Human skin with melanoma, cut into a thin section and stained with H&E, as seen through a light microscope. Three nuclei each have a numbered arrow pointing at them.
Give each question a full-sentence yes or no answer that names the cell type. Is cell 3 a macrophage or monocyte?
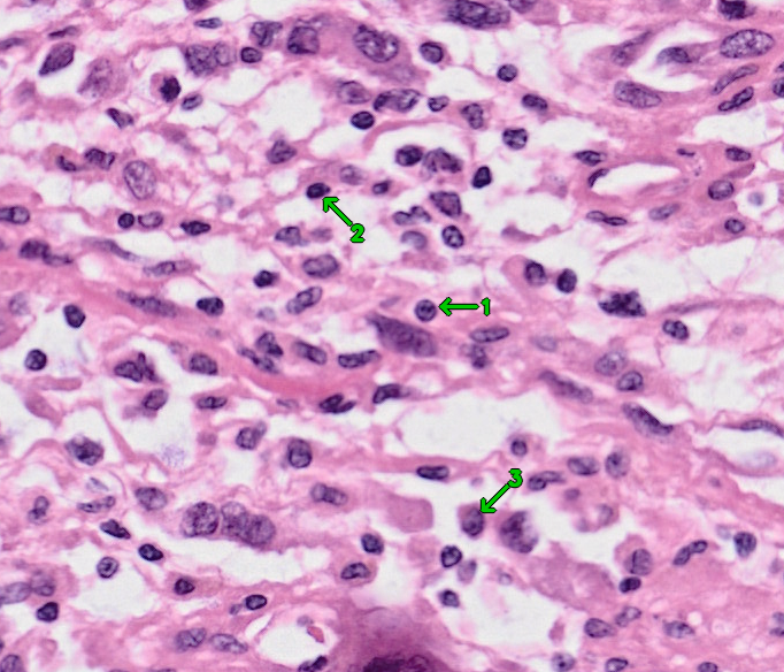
Yes, within this section, cell number 3 is a macrophage or monocyte.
